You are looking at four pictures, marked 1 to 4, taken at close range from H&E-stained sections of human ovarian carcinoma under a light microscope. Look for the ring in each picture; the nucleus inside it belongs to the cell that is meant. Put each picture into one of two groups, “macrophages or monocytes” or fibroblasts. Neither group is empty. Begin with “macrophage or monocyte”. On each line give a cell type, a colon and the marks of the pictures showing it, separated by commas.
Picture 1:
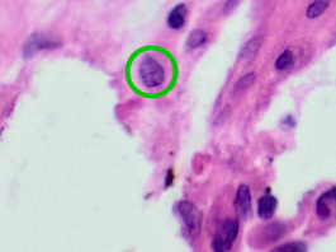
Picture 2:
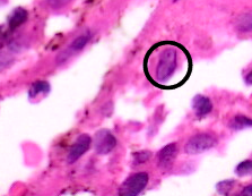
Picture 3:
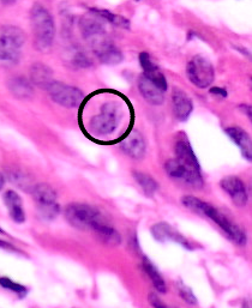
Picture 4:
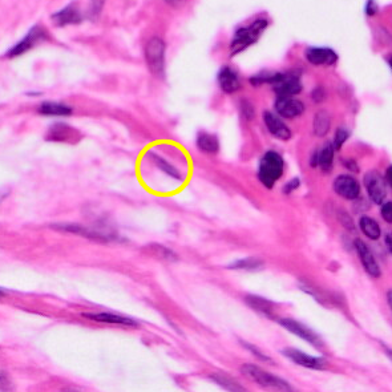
macrophage or monocyte: 1, 2, 3
fibroblast: 4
